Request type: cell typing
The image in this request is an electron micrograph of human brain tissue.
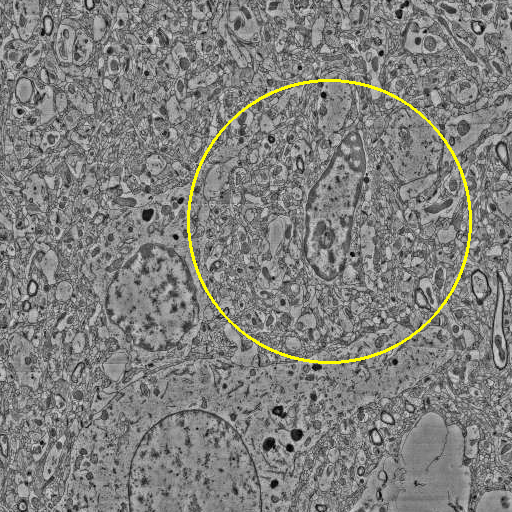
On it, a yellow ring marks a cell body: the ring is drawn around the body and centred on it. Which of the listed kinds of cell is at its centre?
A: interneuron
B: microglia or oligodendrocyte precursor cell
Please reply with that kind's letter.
B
